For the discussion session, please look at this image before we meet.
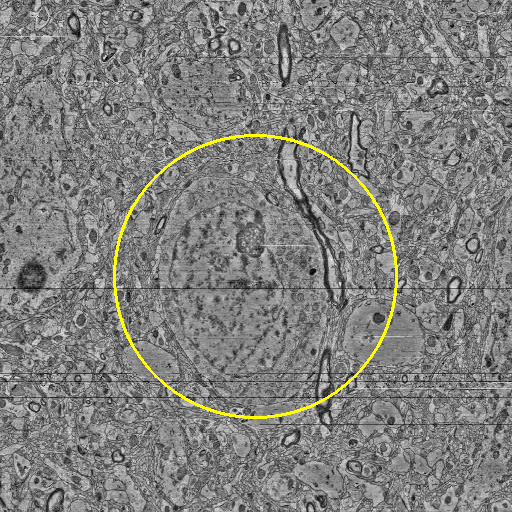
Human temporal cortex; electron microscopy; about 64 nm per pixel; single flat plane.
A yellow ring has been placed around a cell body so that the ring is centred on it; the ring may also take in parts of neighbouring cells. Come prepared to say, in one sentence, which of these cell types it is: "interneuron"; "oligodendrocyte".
The cell centred in the ring is an interneuron.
